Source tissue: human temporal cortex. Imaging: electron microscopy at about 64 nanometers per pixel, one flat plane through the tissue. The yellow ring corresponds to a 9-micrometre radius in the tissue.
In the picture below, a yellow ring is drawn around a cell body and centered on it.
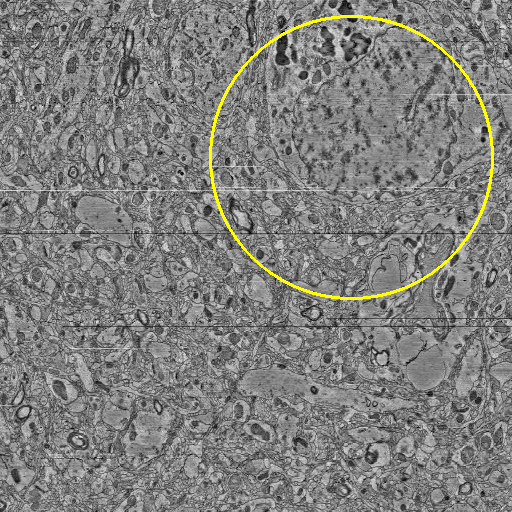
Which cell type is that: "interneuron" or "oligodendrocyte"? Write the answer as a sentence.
The cell centered in the ring is an interneuron.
